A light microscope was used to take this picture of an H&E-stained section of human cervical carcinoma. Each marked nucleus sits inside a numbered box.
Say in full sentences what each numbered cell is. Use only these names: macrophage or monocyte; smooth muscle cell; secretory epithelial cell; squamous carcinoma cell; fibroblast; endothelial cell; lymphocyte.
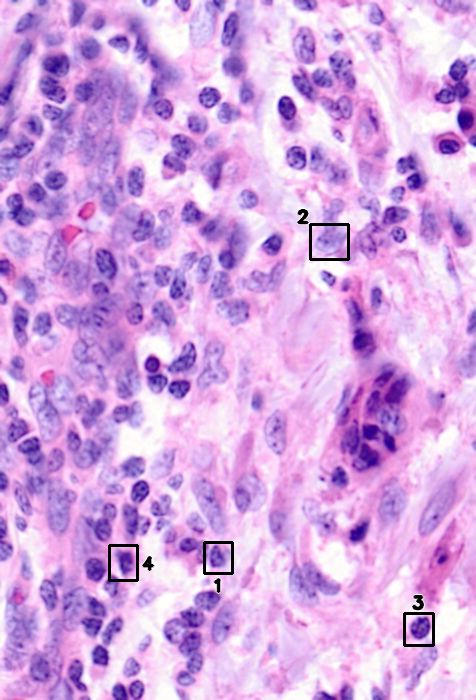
Cell 1 is a lymphocyte, cell 2 is a fibroblast, cell 3 is a lymphocyte and cell 4 is a lymphocyte.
